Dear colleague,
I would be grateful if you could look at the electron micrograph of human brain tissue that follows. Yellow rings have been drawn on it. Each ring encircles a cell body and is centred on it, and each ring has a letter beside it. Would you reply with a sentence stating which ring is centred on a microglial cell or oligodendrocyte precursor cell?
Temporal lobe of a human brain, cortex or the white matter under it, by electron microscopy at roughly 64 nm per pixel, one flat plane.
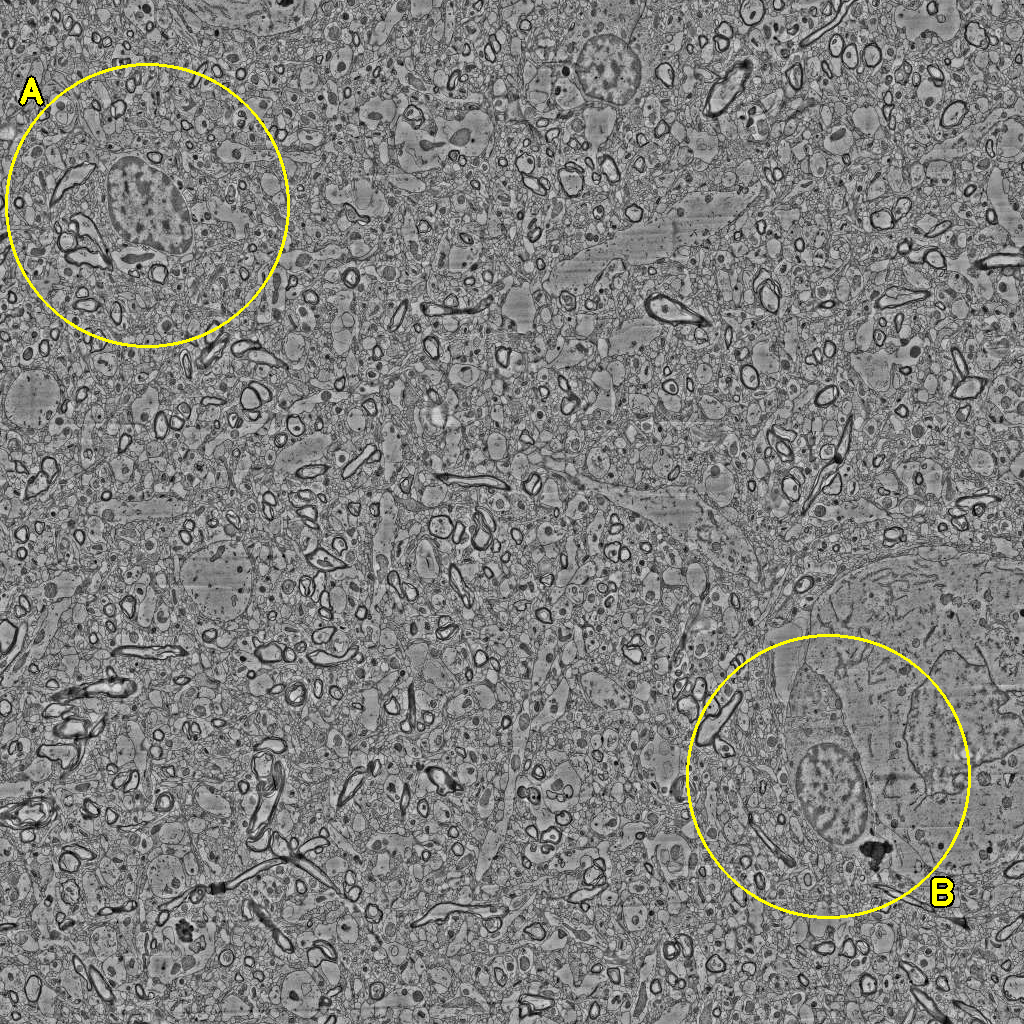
The ring centred on it is ring A.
